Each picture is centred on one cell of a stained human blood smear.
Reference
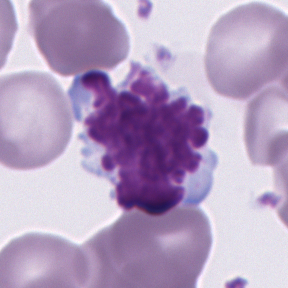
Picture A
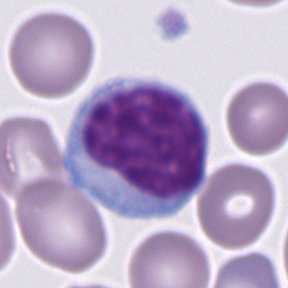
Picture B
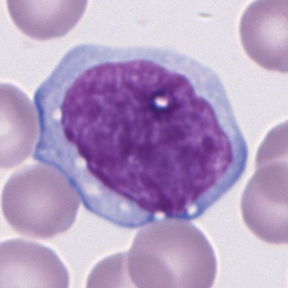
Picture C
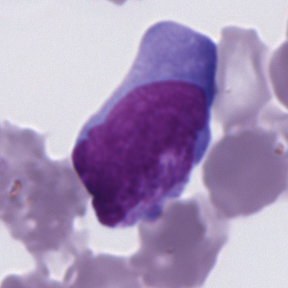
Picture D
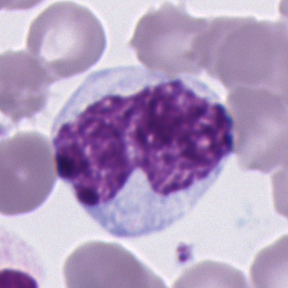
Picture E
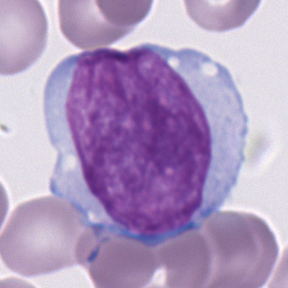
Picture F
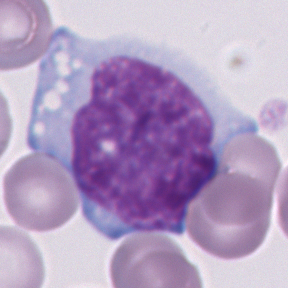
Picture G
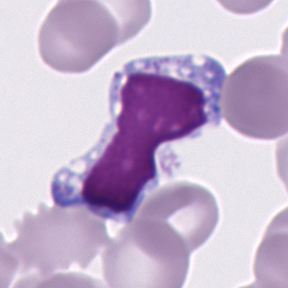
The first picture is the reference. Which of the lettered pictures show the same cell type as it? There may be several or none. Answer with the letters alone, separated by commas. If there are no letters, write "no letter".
A, G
